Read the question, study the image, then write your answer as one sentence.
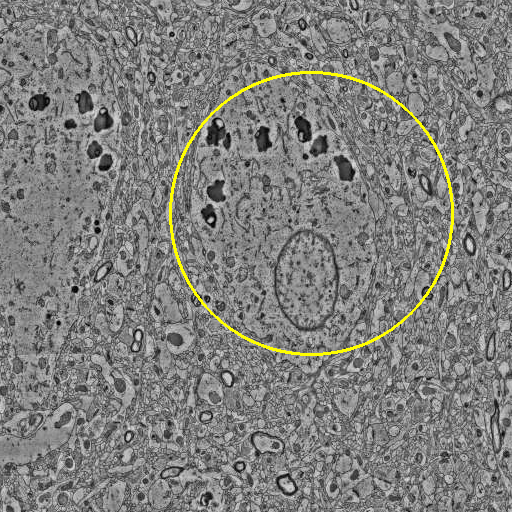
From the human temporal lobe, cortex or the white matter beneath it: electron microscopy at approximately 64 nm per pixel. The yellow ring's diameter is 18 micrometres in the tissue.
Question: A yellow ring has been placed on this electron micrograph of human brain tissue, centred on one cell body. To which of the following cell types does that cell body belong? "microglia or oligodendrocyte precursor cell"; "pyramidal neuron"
That cell body belongs to a pyramidal neuron.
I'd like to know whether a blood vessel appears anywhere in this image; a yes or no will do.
No, none is visible.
